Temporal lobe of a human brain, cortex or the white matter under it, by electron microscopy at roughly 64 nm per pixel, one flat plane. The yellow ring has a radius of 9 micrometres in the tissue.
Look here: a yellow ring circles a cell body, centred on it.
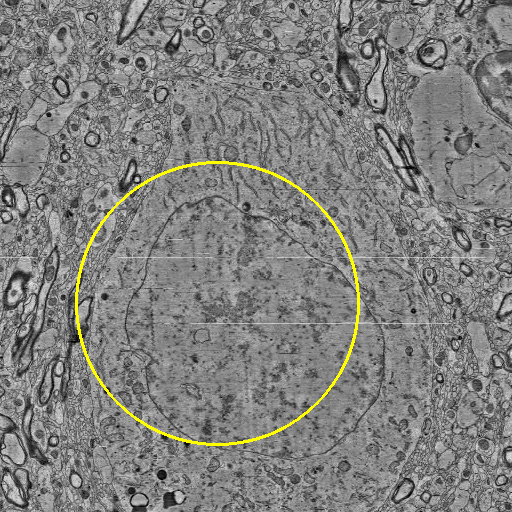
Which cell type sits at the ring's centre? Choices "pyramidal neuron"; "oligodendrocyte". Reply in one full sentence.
The cell at the centre of the yellow ring in the picture is a pyramidal neuron.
